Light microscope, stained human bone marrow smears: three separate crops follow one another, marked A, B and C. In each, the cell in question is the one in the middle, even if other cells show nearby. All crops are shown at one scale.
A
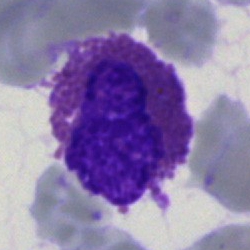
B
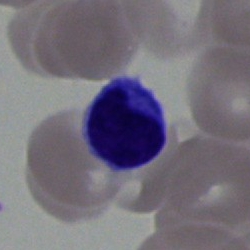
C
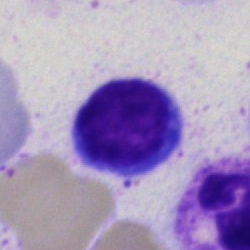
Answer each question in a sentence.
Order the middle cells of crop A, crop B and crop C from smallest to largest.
The order is B, C, A, beginning with the smallest.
